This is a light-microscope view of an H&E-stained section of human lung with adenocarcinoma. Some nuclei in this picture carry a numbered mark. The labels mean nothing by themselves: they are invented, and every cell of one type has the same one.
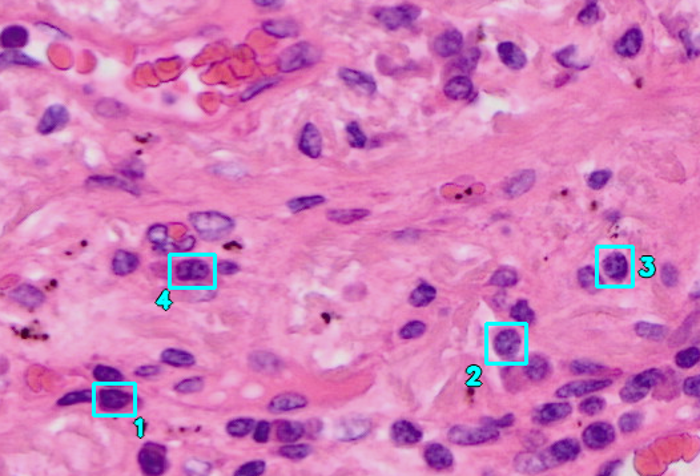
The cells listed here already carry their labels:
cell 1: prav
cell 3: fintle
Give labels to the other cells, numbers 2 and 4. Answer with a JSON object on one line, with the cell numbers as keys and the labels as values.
{"2": "fintle", "4": "prav"}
